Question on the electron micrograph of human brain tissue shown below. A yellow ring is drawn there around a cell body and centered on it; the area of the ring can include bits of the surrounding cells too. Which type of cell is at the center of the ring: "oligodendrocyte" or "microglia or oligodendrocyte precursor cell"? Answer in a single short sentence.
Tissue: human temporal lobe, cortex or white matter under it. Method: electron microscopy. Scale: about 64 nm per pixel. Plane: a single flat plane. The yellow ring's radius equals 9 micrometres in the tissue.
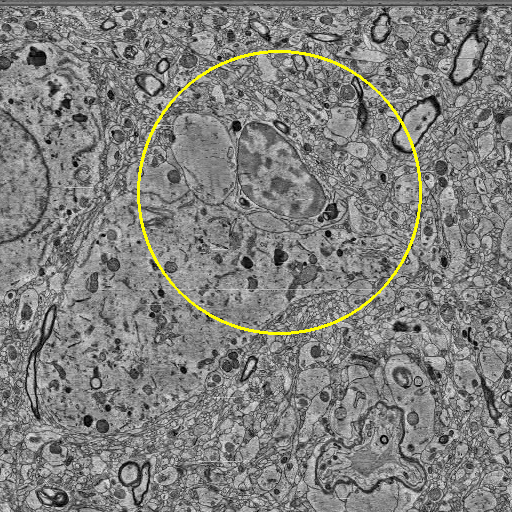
The ring is centered on a microglial cell or oligodendrocyte precursor cell.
